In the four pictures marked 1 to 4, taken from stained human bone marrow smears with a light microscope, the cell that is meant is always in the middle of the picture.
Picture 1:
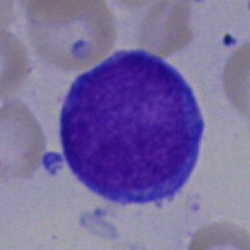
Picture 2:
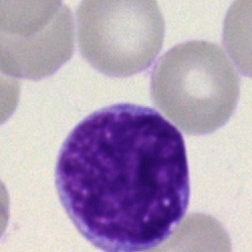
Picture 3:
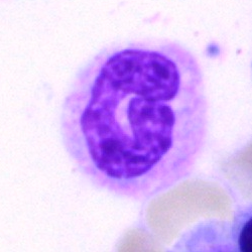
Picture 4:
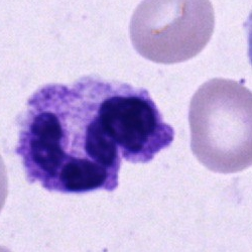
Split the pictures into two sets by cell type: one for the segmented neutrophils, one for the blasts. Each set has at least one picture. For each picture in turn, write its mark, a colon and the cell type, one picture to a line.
1: blast
2: blast
3: segmented neutrophil
4: segmented neutrophil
